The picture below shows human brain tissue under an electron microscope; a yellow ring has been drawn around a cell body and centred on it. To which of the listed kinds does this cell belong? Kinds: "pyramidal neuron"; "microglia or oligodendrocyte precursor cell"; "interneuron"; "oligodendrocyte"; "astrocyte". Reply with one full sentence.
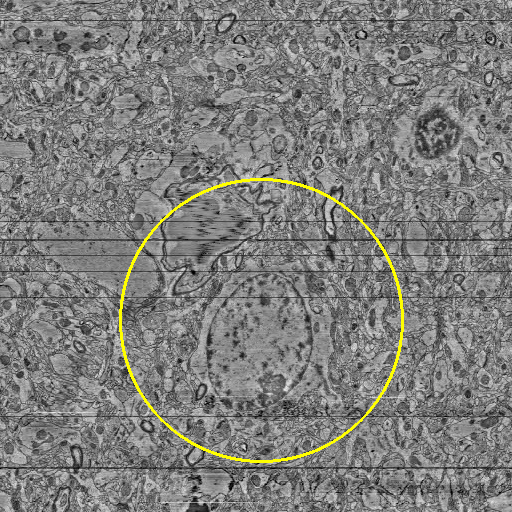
It is an astrocyte that the yellow ring in the picture is centred on.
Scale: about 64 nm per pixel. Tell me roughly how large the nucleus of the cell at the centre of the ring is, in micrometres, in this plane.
About 9 micrometres by about 7 micrometres in this plane.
